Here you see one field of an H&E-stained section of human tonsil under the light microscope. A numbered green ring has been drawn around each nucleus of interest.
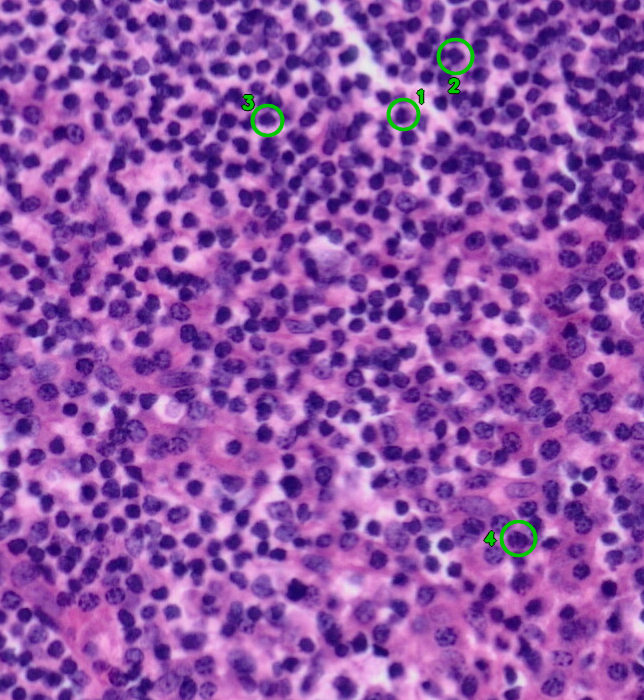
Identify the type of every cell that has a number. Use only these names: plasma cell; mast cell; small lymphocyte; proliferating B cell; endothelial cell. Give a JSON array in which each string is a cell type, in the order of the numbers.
["small lymphocyte", "small lymphocyte", "small lymphocyte", "plasma cell"]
